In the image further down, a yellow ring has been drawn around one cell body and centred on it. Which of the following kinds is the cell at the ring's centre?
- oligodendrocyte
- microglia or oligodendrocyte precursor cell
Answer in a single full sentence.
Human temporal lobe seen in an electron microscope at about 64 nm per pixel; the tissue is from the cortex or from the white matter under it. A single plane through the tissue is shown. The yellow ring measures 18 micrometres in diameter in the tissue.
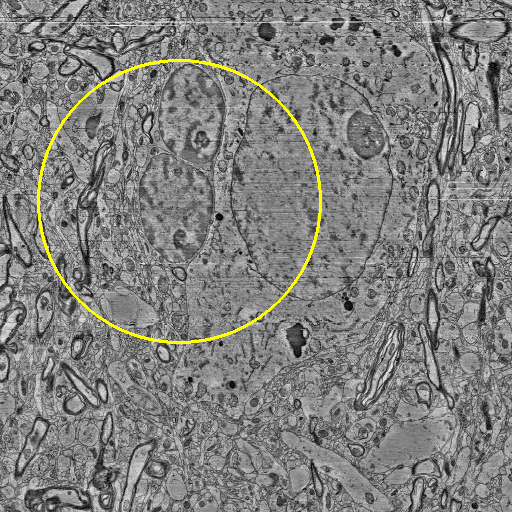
In the picture, the cell sitting at the centre of the yellow ring is an oligodendrocyte.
